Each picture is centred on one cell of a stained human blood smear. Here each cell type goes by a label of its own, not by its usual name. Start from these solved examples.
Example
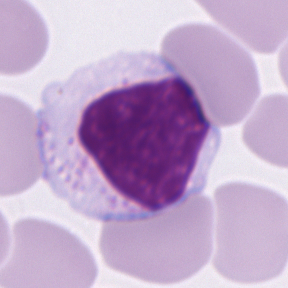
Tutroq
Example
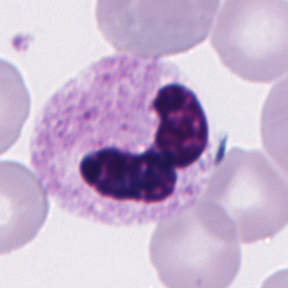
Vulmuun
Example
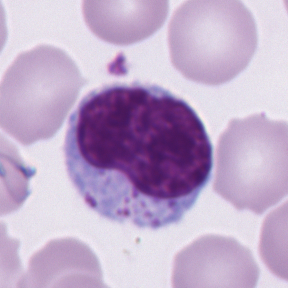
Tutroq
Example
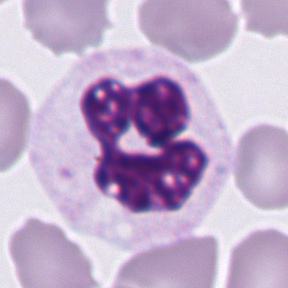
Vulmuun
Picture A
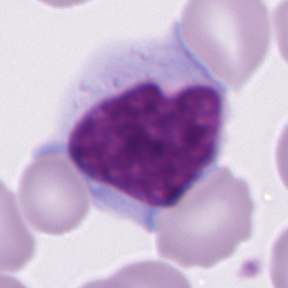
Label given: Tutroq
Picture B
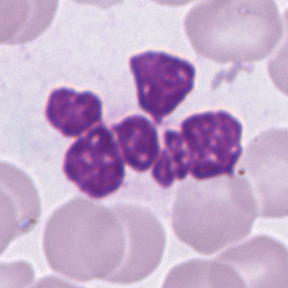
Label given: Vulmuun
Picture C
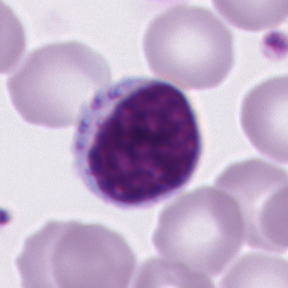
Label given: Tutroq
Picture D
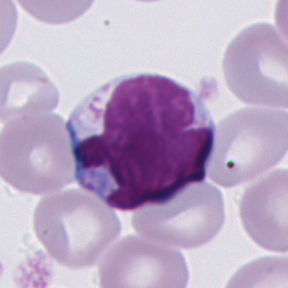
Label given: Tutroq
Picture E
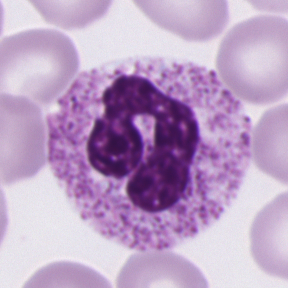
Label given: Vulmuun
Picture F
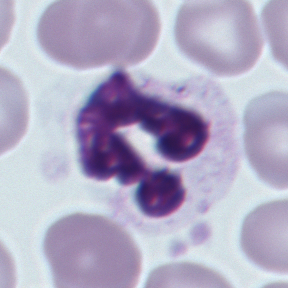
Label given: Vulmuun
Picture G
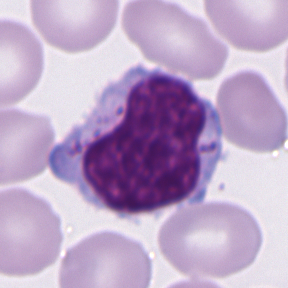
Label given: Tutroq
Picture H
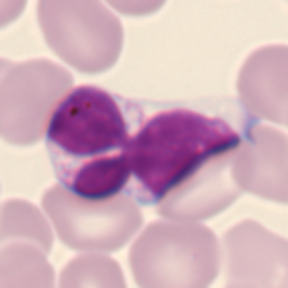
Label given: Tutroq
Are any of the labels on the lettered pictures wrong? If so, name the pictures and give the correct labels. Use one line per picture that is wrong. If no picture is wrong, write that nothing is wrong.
Every label is right.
